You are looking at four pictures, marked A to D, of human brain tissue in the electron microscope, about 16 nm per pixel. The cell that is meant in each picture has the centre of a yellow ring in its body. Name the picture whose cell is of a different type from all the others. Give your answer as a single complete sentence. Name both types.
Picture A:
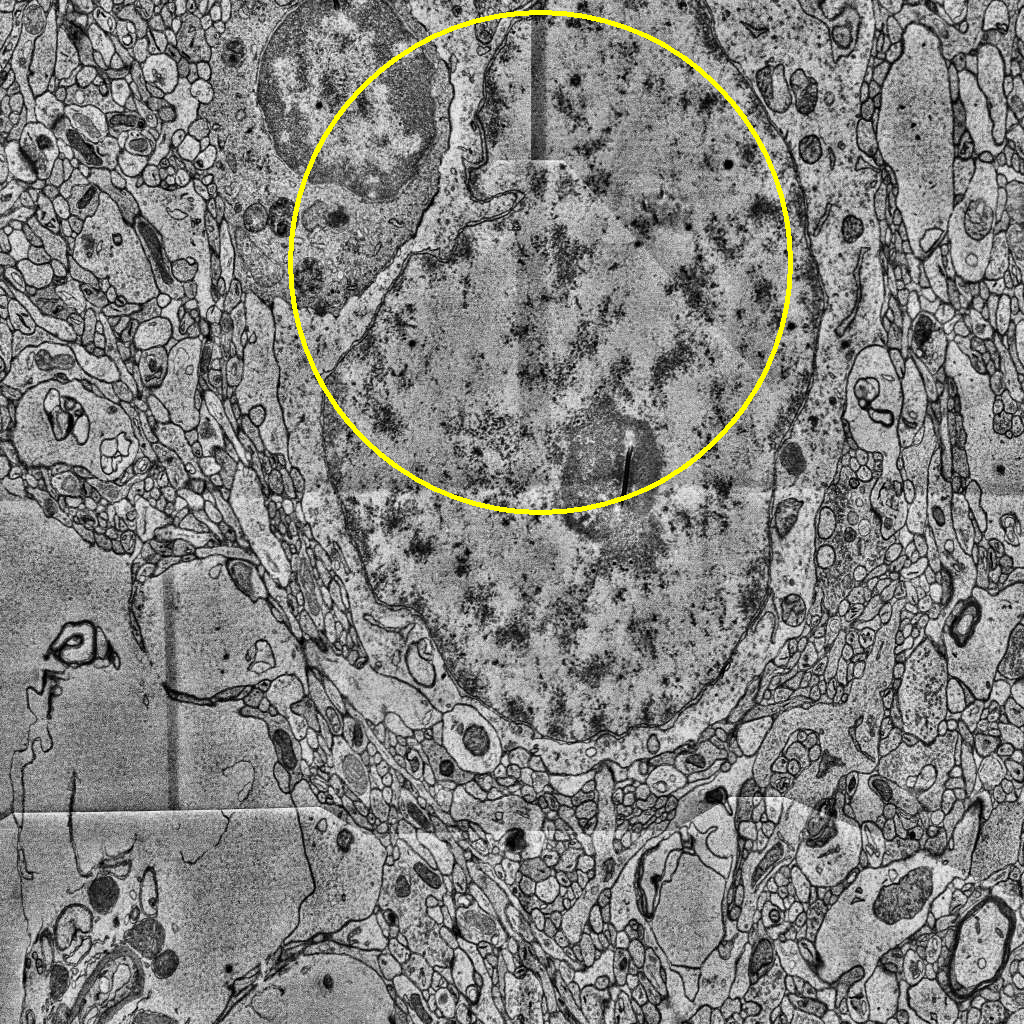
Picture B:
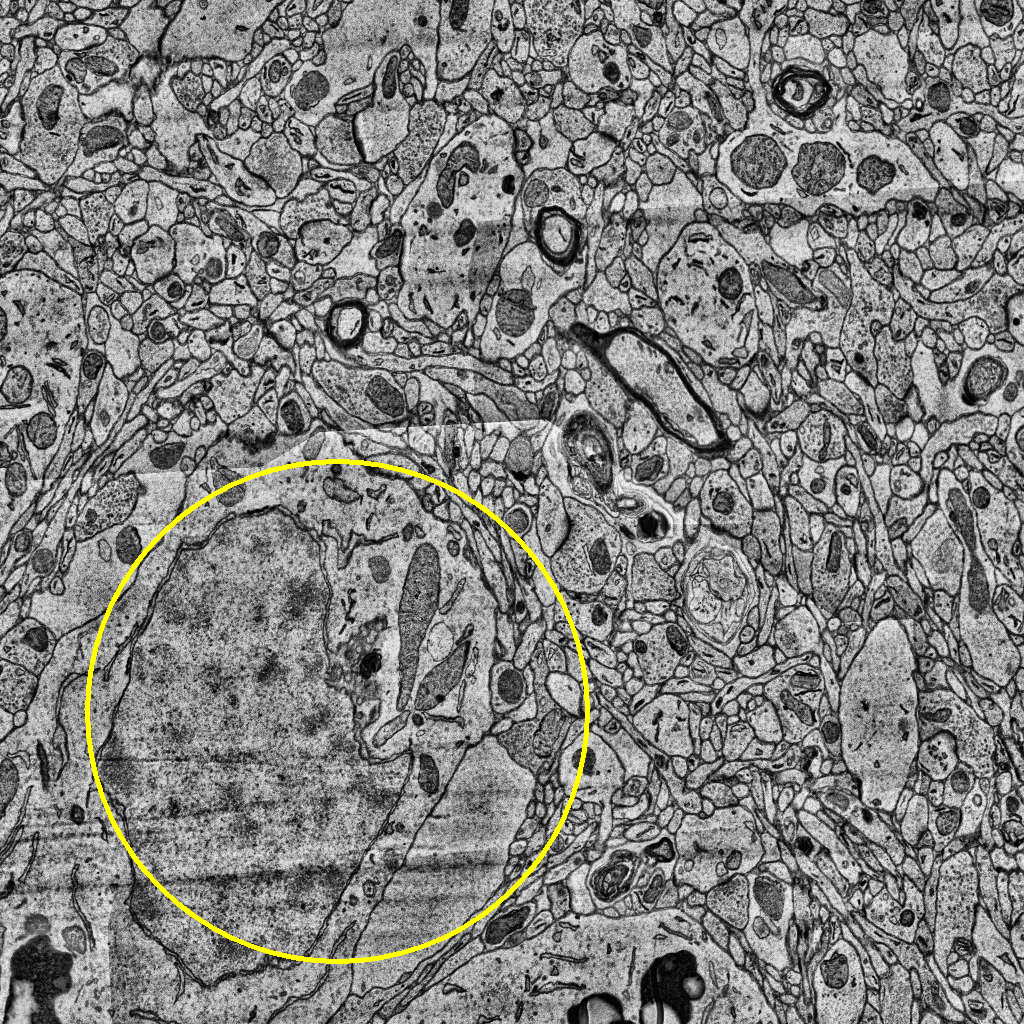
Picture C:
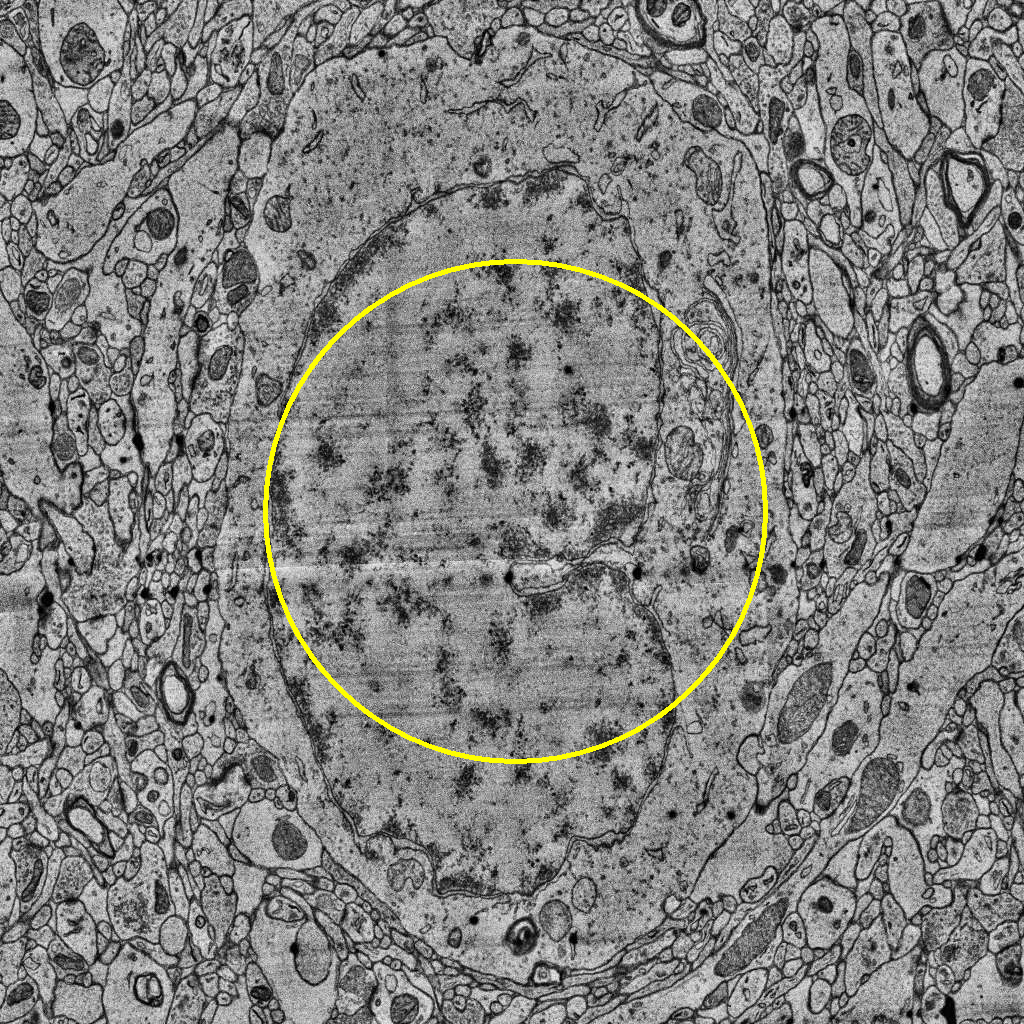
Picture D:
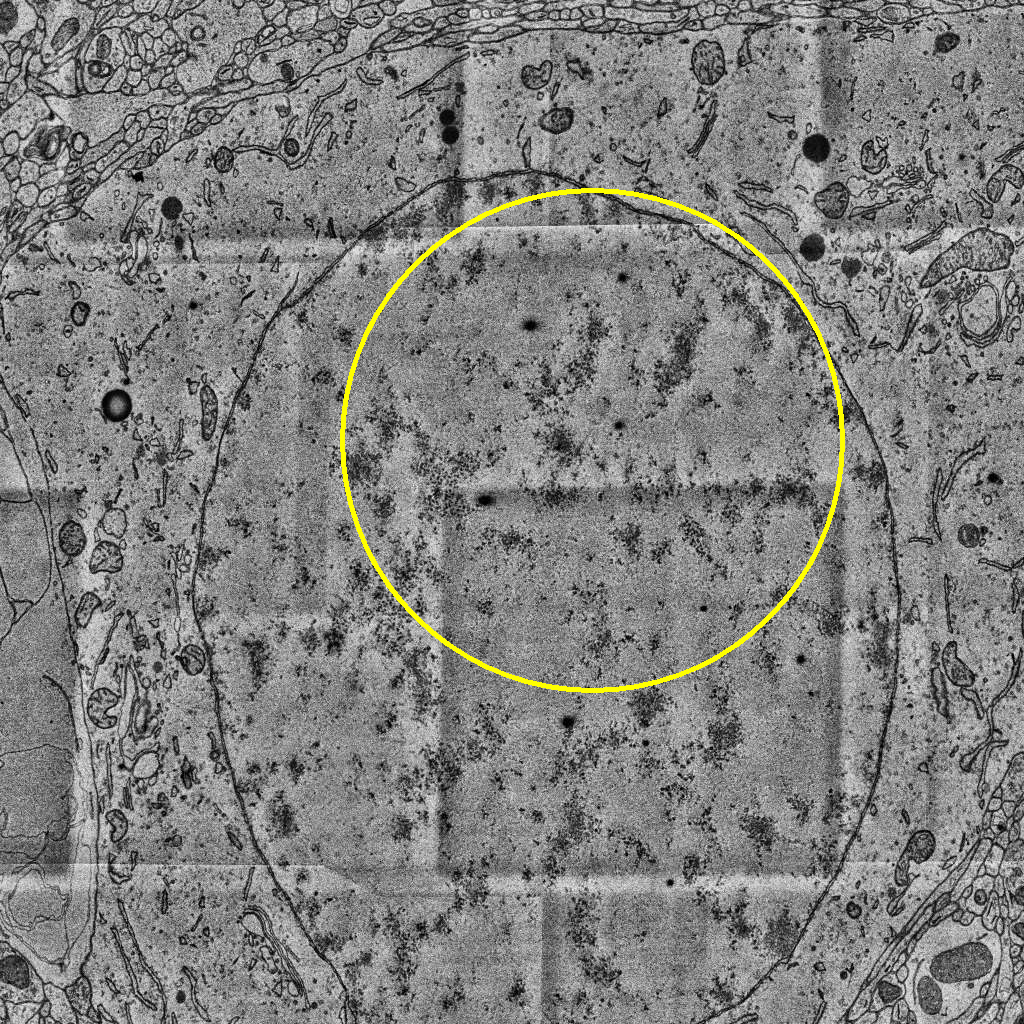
Picture D differs, because its cell is a pyramidal neuron and the rest are interneurons.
